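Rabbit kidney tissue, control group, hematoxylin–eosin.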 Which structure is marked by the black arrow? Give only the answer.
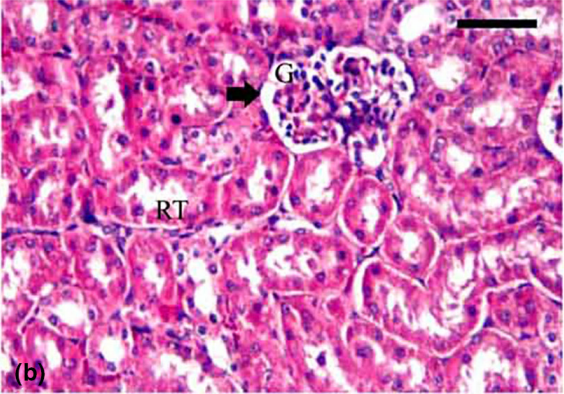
Bowman's space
